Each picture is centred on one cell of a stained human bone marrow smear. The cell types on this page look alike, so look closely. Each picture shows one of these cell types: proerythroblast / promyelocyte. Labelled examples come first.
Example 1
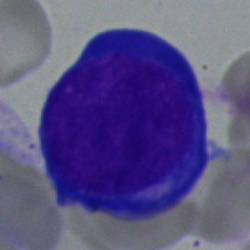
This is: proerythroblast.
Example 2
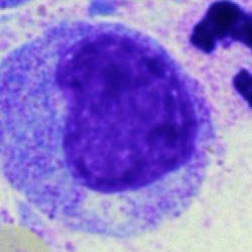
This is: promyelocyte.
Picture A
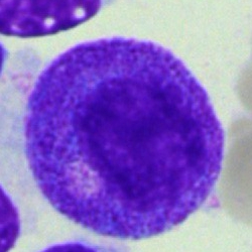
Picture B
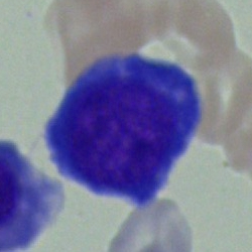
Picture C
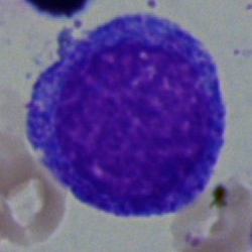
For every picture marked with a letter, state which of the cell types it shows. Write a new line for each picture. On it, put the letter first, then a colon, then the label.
A: promyelocyte.
B: proerythroblast.
C: promyelocyte.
